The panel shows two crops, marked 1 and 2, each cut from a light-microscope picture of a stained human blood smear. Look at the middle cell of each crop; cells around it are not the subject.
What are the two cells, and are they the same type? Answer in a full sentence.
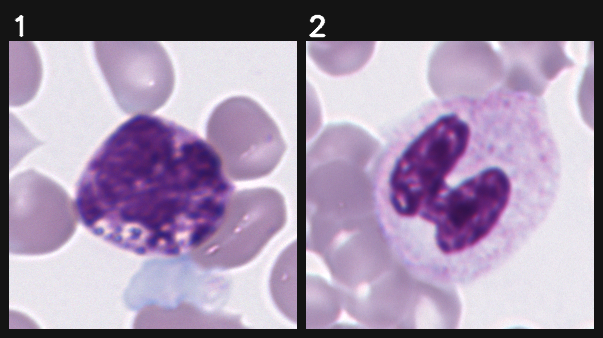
No, a neutrophil is in crop 2, and a basophil is in crop 1.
